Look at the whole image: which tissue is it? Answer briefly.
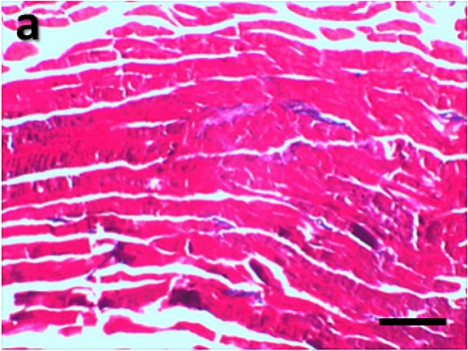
Muscle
